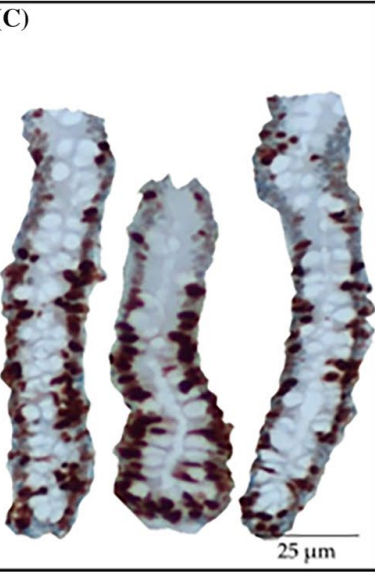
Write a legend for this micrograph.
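These are three intestinal crypts cut out at high magnification, each a narrow tube with a thin central lumen. The walls are a single layer of epithelial cells whose elongated nuclei sit toward the outer edge. Many of these nuclei are stained dark brown, others are pale blue-grey, and brown nuclei are found along the whole length of each crypt, crowding especially at the rounded bottoms. Between the nuclei, numerous clear, round, unstained vacuoles fill the cell bodies, giving the crypts a bubbly appearance toward the lumen. The cytoplasm is otherwise pale.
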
